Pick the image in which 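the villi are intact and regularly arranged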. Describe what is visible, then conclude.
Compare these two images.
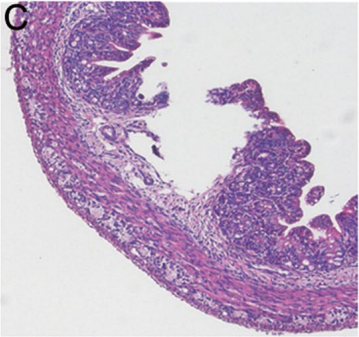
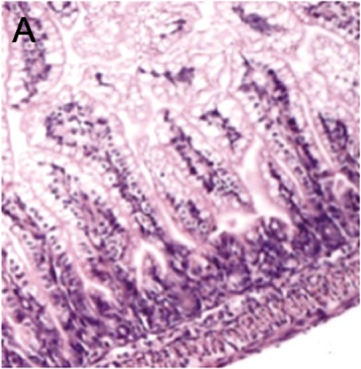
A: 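The second image. First image: the mucosal surface is ragged, with detached fragments in the lumen. Second image: long parallel villi with continuous epithelium line the mucosa.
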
